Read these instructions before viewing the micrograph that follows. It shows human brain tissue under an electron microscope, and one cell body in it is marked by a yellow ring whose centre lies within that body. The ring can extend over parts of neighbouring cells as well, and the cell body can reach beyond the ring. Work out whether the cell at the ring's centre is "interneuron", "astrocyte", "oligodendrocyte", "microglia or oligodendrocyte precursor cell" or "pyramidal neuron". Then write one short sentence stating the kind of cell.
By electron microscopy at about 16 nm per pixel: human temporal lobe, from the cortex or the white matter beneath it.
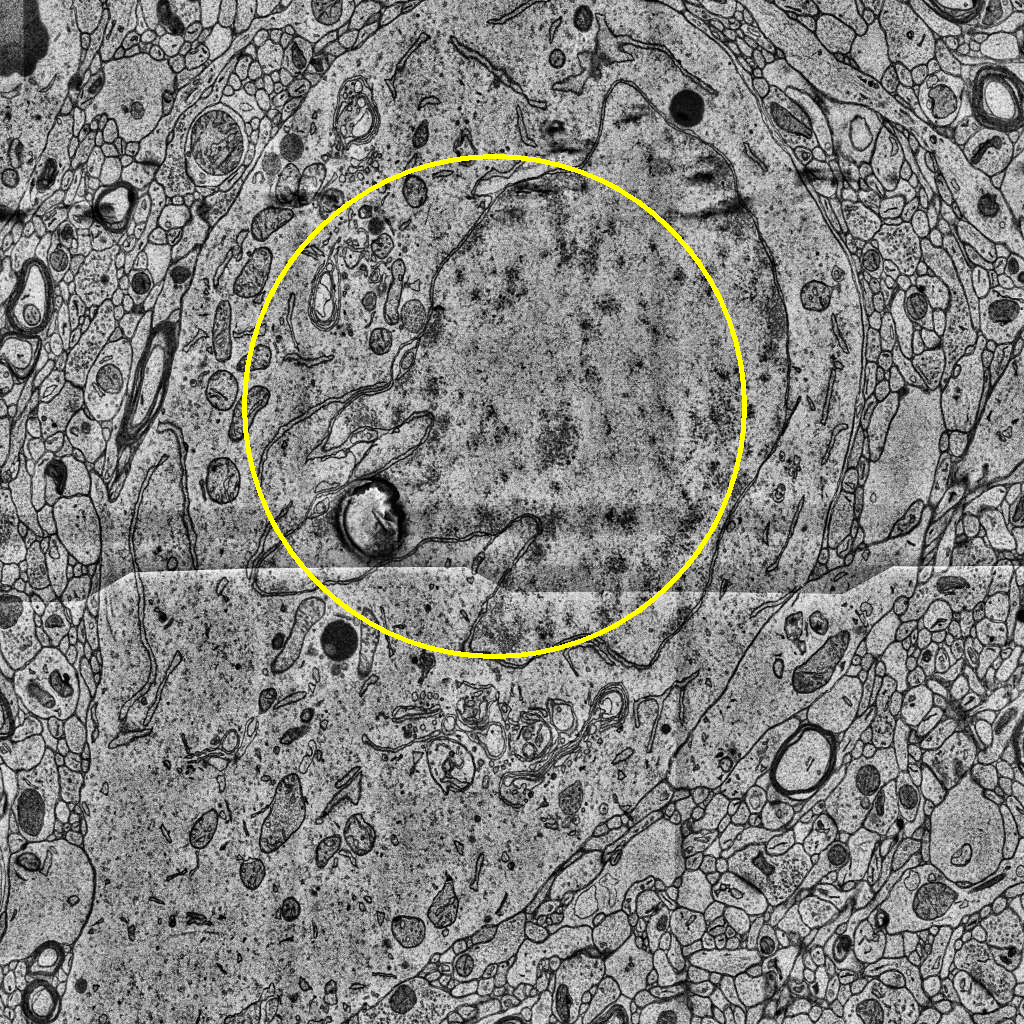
The cell at the ring's centre is an interneuron.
